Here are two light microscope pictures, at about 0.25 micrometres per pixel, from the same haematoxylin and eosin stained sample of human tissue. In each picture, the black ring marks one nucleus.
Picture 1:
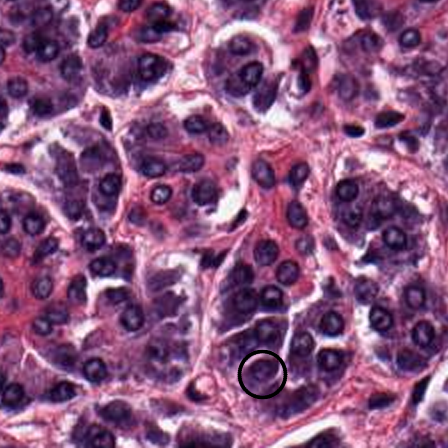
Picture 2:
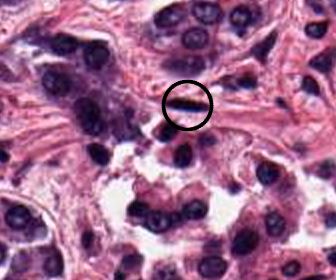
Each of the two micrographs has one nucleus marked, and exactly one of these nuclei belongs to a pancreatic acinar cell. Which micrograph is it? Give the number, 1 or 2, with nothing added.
1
